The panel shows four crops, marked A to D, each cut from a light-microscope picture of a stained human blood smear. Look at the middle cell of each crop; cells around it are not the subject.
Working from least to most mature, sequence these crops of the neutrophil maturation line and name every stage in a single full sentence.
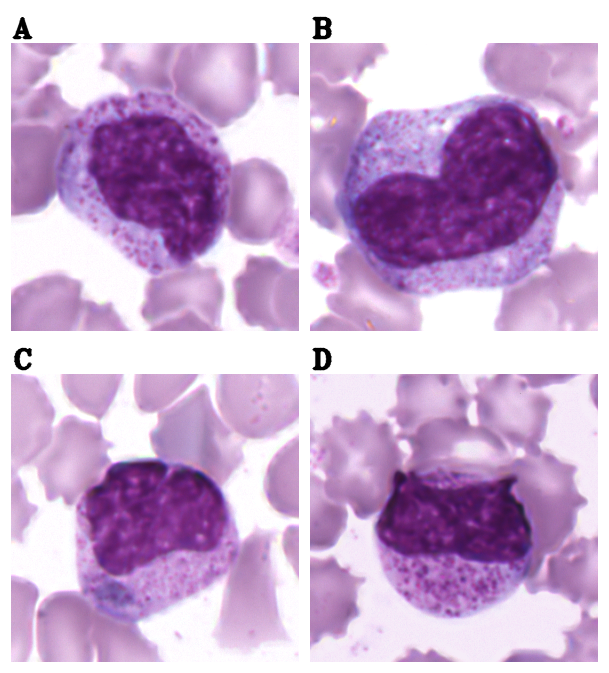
By stage of maturation, from earliest to latest, the order is crop B (a promyelocyte), crop A (a myelocyte), crop D (a metamyelocyte) and crop C (a band neutrophil).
